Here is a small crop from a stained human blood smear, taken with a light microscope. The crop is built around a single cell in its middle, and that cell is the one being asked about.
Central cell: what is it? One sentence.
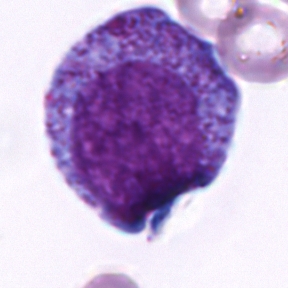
The cell centered in this field of view is a promyelocyte.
